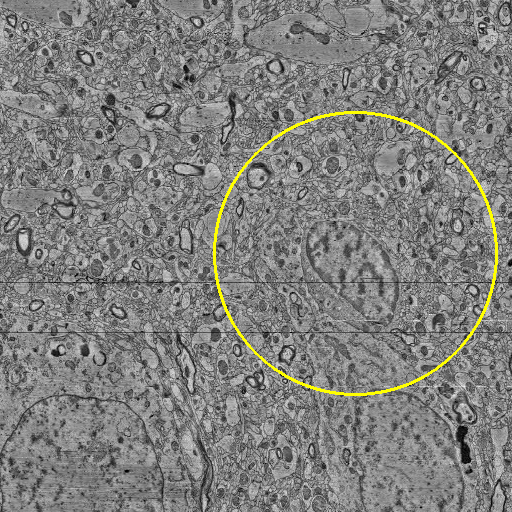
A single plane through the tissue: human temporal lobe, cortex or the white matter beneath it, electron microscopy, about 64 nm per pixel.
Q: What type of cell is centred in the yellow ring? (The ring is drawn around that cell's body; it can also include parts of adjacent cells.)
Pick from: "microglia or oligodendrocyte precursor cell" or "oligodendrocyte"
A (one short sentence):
The yellow ring is centred on an oligodendrocyte.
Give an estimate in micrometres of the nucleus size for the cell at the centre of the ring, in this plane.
The nucleus comes to approximately 8 by 4 micrometres and is clearly longer than it is wide in this plane.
